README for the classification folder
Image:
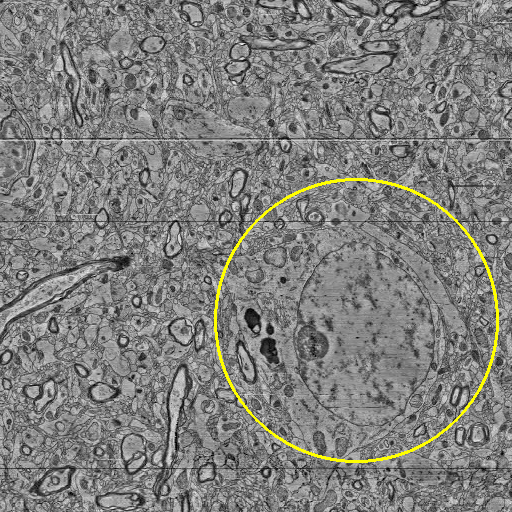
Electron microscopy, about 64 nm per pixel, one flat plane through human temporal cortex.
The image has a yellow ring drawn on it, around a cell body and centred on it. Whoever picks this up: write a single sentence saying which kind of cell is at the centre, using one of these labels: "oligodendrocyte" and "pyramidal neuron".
This cell body is that of a pyramidal neuron.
